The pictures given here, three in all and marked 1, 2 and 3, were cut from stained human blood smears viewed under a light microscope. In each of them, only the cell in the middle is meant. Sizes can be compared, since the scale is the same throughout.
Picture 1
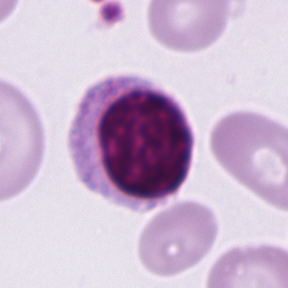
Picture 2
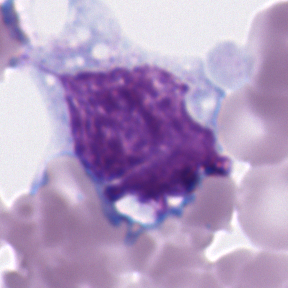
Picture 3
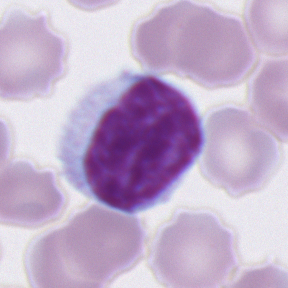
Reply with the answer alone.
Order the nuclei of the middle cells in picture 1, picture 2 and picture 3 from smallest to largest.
1, 3, 2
